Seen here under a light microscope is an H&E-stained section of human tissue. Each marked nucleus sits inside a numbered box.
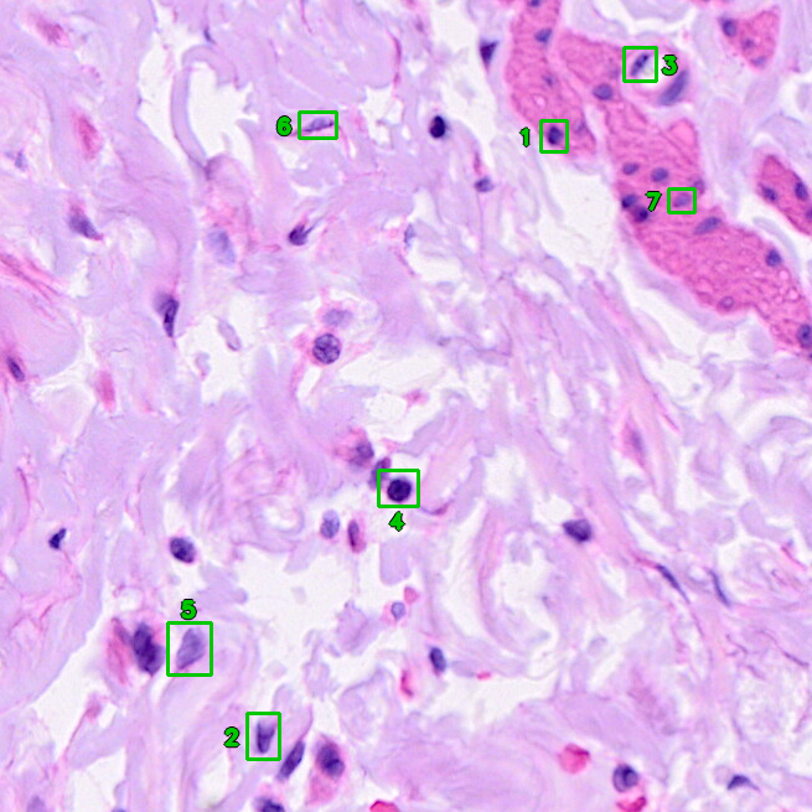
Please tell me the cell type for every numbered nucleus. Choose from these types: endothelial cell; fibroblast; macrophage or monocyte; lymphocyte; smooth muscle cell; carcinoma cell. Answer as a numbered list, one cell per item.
1. smooth muscle cell
2. fibroblast
3. endothelial cell
4. lymphocyte
5. fibroblast
6. fibroblast
7. smooth muscle cell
